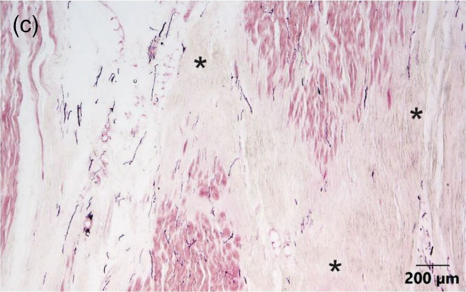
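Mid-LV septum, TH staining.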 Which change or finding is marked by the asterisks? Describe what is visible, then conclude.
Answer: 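The asterisks lie in pale, finely fibrillar areas without muscle bundles. Pink muscle bundles border these pale areas. On this evidence: healed scar.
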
